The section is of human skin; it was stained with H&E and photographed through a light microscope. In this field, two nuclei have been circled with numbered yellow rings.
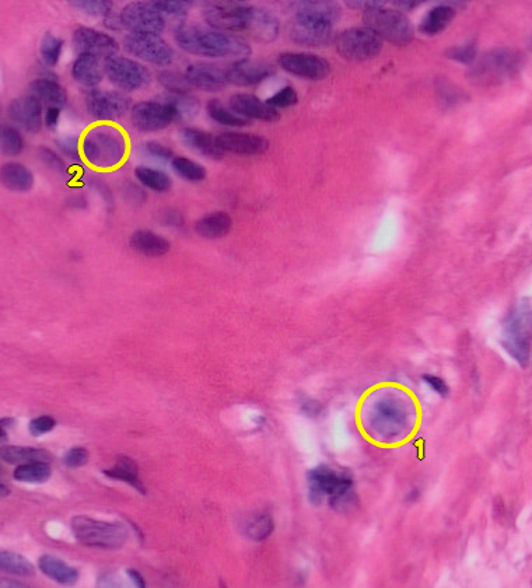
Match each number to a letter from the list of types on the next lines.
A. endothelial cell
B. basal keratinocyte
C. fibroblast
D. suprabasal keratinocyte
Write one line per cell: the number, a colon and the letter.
1: A
2: B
